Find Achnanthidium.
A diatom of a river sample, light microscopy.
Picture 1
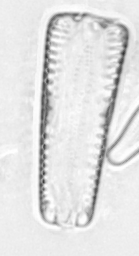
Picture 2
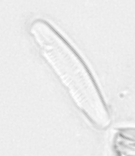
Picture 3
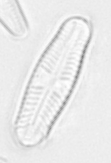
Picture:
2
